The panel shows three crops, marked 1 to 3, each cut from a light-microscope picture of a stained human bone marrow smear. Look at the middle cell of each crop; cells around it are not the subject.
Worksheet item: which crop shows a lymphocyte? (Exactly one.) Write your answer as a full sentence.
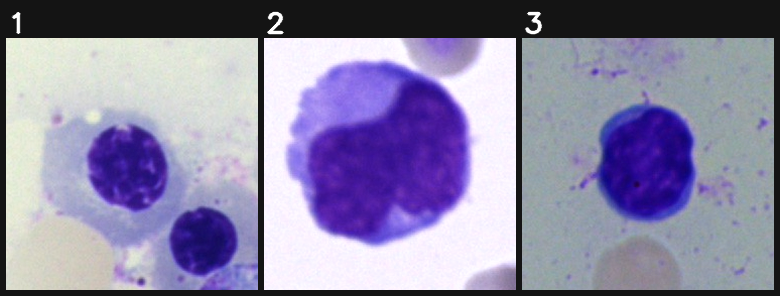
The crop marked 3 is the one that shows a lymphocyte.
